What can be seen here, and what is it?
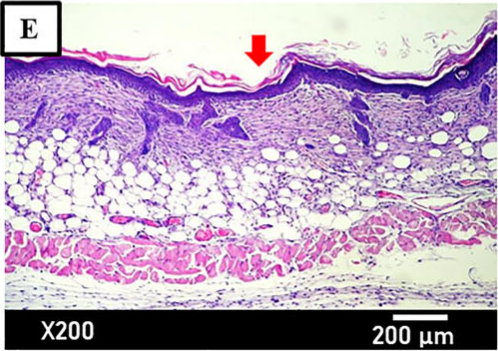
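This is a section of healing skin covered by a continuous, thin purple epidermis only a few cells thick. On top of it lies a wavy pink acellular layer of keratin, and no break in the surface is seen. Beneath, the dermis is a loose pale fibrous tissue with scattered purple nuclei and a few small clusters of darker cells. Deeper down there is a zone of fat with round empty spaces, and at the bottom bright pink bundles of skeletal muscle. The thin but intact covering with a keratin layer fits an atrophic epithelium with a corneal layer and no ulcer.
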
